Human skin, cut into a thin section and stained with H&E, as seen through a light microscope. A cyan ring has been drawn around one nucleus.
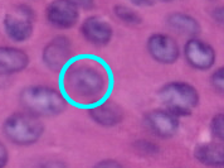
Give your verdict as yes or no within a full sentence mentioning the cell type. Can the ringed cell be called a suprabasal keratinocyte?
Yes, correct on this one: the ringed cell is a suprabasal keratinocyte.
